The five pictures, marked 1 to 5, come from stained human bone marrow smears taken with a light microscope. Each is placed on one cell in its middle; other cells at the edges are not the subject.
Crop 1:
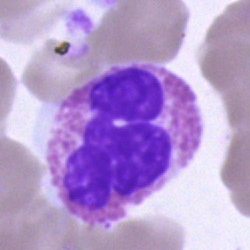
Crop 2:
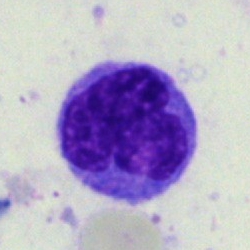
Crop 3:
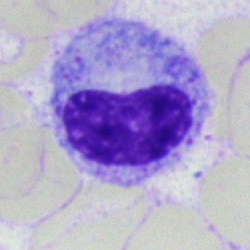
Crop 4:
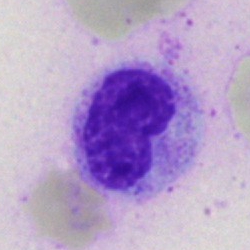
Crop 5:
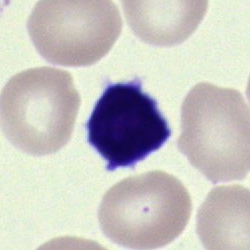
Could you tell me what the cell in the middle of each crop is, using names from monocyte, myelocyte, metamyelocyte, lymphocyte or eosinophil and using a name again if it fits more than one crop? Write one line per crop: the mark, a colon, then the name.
1: eosinophil
2: monocyte
3: metamyelocyte
4: metamyelocyte
5: lymphocyte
